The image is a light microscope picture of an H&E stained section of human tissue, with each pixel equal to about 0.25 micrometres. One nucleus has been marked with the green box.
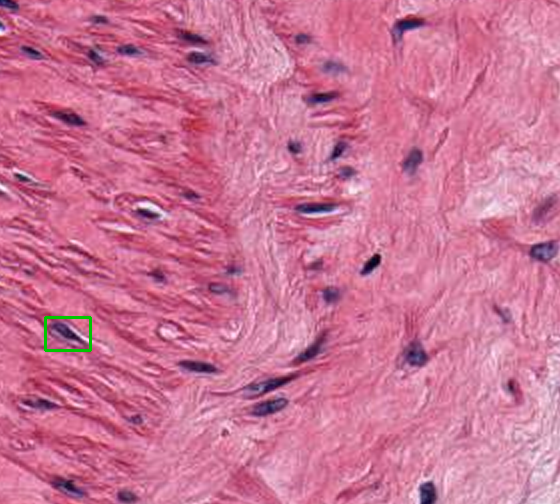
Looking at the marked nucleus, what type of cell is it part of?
smooth muscle cell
